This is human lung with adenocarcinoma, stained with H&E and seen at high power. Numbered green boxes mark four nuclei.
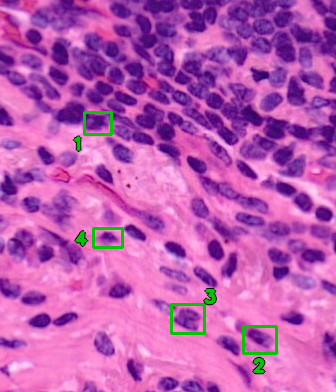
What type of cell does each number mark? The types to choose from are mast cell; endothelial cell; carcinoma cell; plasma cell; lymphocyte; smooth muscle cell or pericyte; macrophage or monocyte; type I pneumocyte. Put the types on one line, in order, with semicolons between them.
lymphocyte; plasma cell; lymphocyte; lymphocyte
